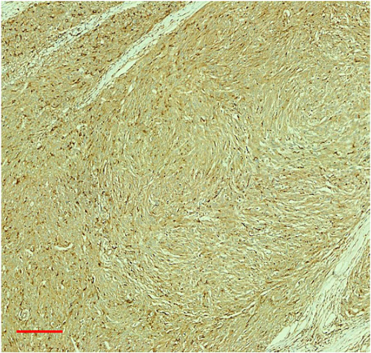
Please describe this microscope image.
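This is a spindle-cell tumor in which the tumor cells show diffuse brown cytoplasmic staining. The cells lie in sweeping fascicles and vague whorls, with some groups cut across and others lengthwise. Scattered cells stand out with darker, more granular brown cytoplasm against the lighter brown background. A thin band of pale fibrous stroma runs diagonally through the upper part of the field and separates tumor nodules.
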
